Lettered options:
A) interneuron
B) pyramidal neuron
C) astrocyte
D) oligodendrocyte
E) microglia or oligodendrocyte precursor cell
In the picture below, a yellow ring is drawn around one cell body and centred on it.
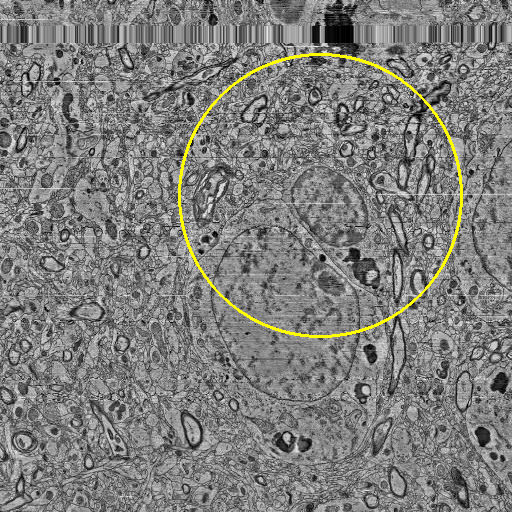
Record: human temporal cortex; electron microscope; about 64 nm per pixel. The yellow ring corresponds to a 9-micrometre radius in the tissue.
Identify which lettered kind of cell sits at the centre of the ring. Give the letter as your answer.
D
